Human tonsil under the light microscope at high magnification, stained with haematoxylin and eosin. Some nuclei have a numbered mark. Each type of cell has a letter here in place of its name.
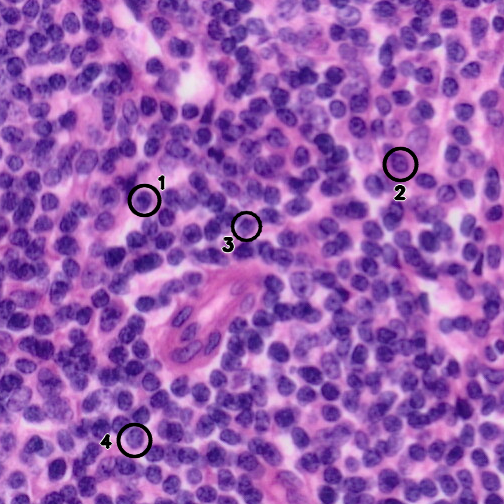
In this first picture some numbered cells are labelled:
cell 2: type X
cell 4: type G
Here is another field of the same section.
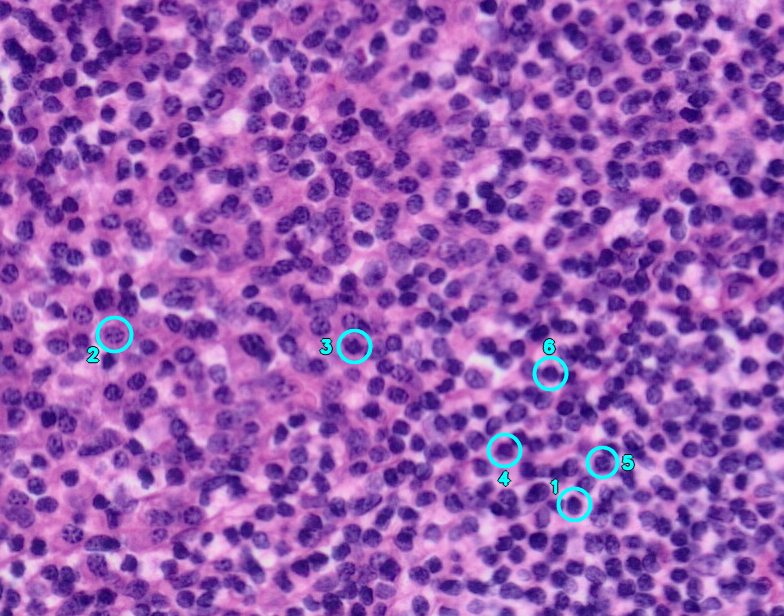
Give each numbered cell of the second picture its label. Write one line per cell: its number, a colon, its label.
1: type G
2: type X
3: type X
4: type G
5: type G
6: type G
